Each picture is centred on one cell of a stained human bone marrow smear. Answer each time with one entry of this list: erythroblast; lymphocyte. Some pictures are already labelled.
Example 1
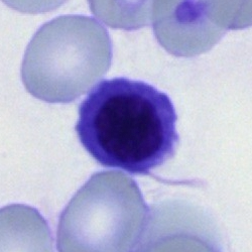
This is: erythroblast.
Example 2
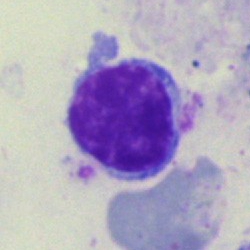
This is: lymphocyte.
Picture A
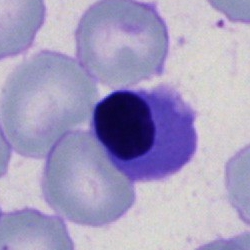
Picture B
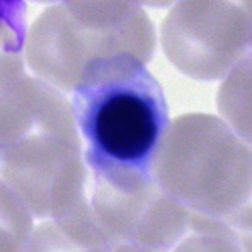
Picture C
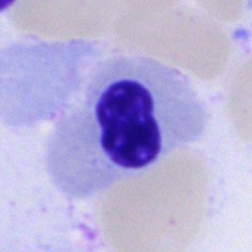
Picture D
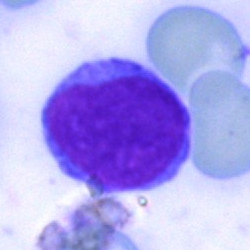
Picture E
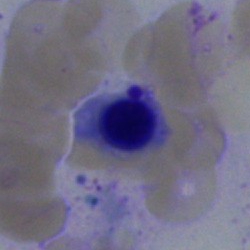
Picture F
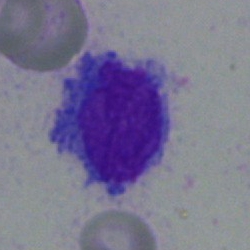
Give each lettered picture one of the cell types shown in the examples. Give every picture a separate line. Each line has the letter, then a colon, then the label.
A: erythroblast.
B: erythroblast.
C: erythroblast.
D: lymphocyte.
E: erythroblast.
F: lymphocyte.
